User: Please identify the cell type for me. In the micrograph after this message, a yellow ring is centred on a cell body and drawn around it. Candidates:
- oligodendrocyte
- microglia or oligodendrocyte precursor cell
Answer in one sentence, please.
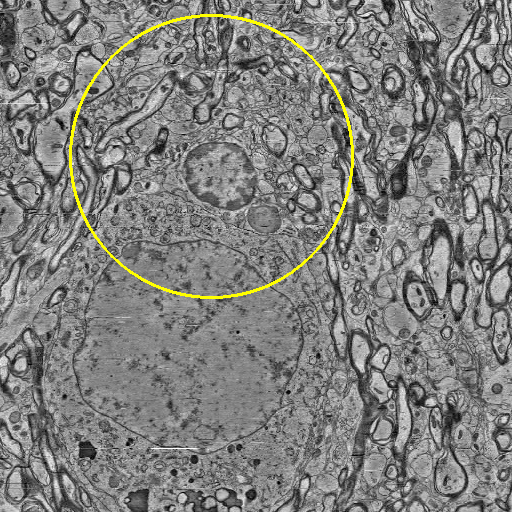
The ring is drawn around the cell body of a microglial cell or oligodendrocyte precursor cell.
